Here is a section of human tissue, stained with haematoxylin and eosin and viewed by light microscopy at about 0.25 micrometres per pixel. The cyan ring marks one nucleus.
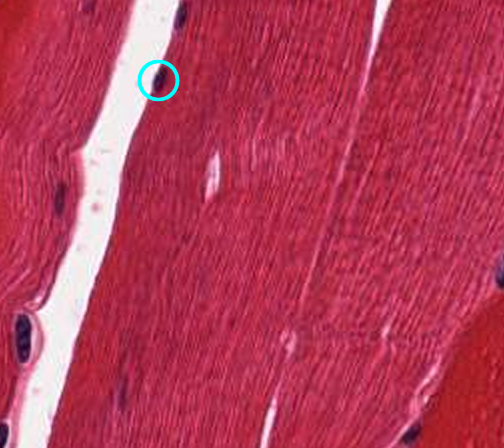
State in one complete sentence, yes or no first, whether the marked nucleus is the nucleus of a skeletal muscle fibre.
Yes, the marked nucleus is located in a skeletal muscle fibre.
